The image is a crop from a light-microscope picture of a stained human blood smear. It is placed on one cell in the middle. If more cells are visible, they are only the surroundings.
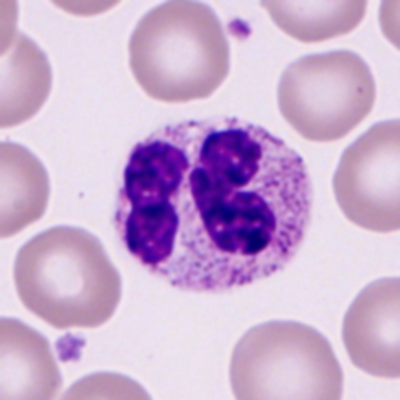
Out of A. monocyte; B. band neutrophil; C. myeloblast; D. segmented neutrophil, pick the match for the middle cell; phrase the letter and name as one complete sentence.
The centrally located cell is a segmented neutrophil, making option D the correct choice.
